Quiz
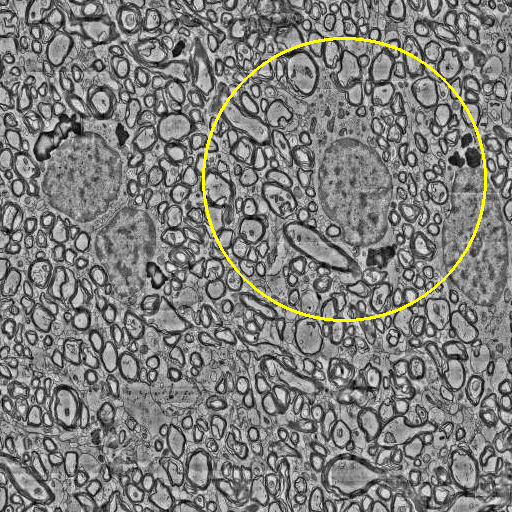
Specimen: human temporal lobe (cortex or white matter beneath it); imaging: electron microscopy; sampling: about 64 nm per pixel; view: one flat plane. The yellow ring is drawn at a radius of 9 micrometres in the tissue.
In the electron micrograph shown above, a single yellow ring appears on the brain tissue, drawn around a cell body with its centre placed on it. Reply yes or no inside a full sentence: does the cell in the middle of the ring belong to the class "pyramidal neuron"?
No, the cell at the centre of the ring in the picture belongs to a different class.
